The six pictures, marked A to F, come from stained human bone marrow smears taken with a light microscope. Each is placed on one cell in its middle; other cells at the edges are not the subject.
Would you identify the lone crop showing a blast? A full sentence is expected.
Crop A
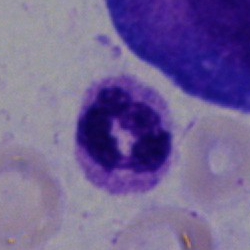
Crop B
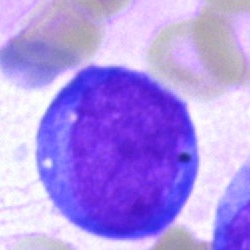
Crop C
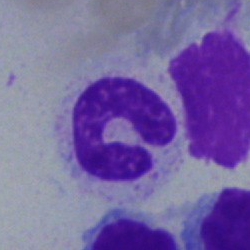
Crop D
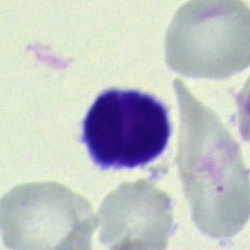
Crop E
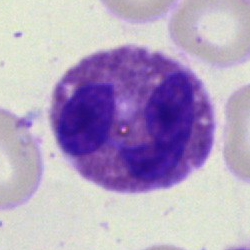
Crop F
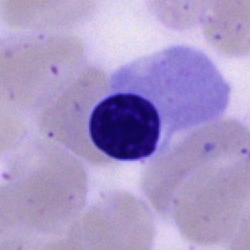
The crop with a blast at its center is crop B.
